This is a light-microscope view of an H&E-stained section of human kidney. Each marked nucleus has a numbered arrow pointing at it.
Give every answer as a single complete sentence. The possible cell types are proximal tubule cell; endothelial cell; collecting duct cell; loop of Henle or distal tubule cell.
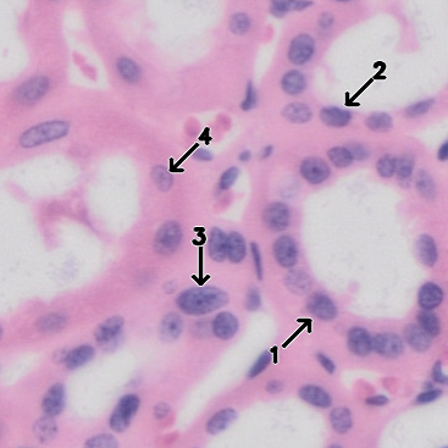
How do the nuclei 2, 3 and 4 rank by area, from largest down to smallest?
By area, largest first, they run 3, 2, 4.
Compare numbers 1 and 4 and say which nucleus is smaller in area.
Number 4 is smaller, since number 1 takes up about 2 times as much area.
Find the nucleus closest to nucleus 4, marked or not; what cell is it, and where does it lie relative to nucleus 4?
The nearest nucleus is that of an endothelial cell and lies above and to the right of nucleus 4.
